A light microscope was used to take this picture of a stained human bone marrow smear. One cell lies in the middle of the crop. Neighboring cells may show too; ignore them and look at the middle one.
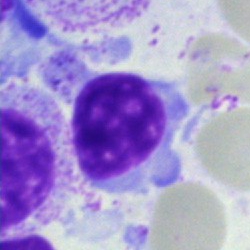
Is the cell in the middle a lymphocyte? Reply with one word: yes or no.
yes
